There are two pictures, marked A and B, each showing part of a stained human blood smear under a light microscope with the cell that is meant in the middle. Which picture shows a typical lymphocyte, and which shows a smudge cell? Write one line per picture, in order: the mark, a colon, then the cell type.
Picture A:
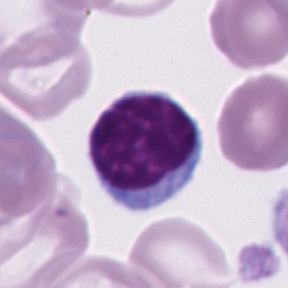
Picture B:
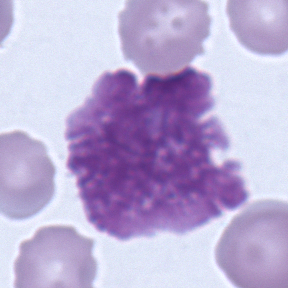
A: typical lymphocyte
B: smudge cell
